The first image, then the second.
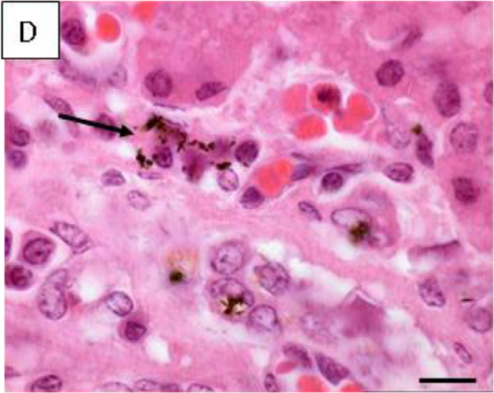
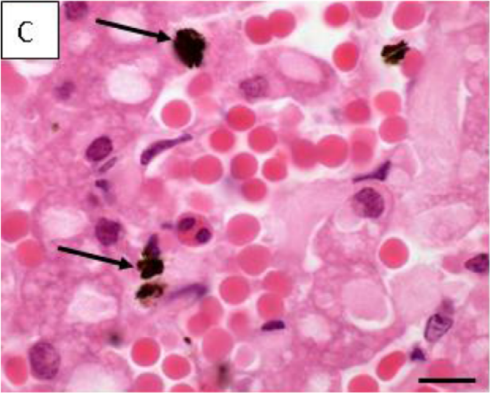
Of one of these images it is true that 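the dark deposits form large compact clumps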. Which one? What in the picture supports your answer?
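First image: the dark material appears as fine scattered granules. Second image: the dark material forms big dense black clumps.
Answer: the second image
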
